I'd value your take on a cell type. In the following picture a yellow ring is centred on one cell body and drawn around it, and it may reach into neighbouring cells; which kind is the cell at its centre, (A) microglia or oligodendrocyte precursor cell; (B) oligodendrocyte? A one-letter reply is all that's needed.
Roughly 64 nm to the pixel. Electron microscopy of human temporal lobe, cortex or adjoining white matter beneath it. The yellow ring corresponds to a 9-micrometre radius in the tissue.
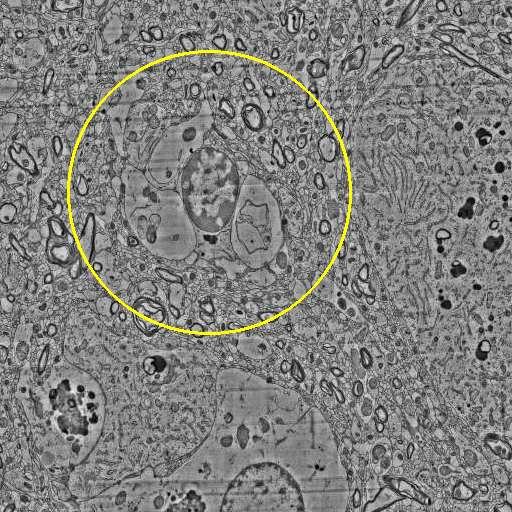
A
